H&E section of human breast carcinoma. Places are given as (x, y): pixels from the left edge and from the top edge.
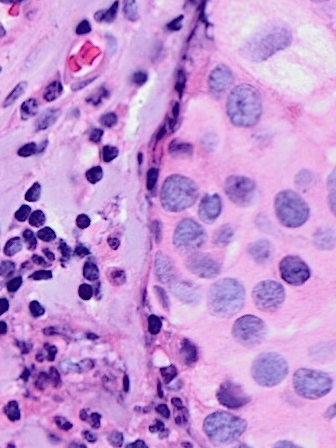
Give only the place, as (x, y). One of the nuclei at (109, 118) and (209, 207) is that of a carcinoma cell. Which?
(209, 207)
